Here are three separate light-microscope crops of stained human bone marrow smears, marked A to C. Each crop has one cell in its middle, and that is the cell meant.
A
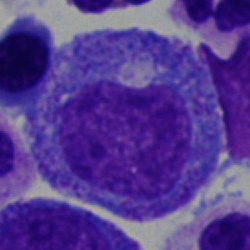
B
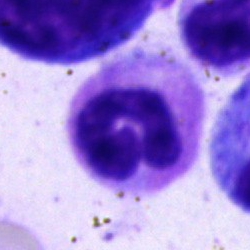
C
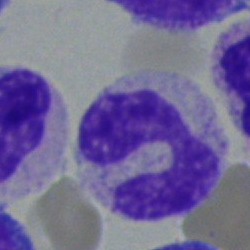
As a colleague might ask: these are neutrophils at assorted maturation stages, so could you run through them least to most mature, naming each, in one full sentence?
The cells in order of increasing maturity are crop A (a promyelocyte), crop C (a band neutrophil) and crop B (a segmented neutrophil).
